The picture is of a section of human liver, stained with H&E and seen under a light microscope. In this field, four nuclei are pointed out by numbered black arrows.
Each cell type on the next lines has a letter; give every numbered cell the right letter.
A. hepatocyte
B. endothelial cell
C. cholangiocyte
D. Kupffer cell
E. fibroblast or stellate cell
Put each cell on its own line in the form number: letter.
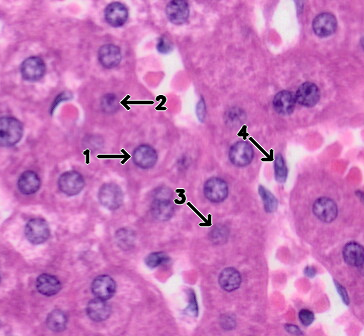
1: A
2: A
3: A
4: D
